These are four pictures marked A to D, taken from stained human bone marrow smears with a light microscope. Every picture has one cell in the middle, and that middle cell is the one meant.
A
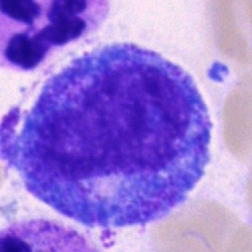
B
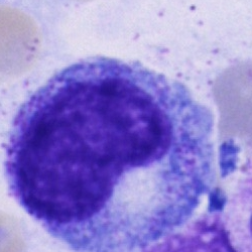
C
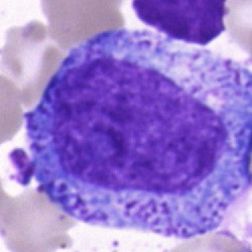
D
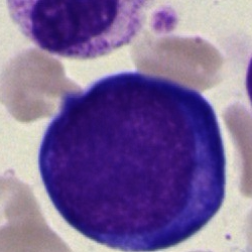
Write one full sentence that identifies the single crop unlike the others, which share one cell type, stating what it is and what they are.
The pattern of promyelocytes across the crops is broken only by crop D, which shows a proerythroblast.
